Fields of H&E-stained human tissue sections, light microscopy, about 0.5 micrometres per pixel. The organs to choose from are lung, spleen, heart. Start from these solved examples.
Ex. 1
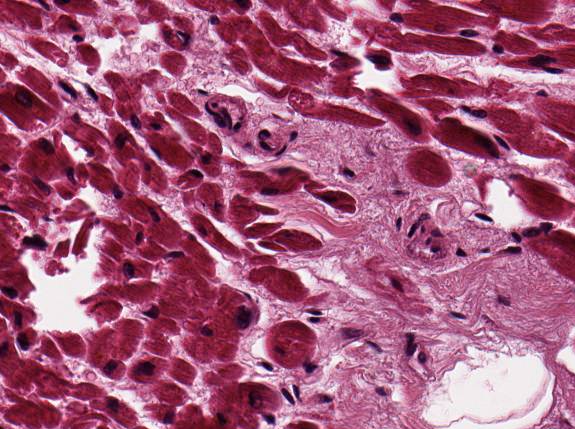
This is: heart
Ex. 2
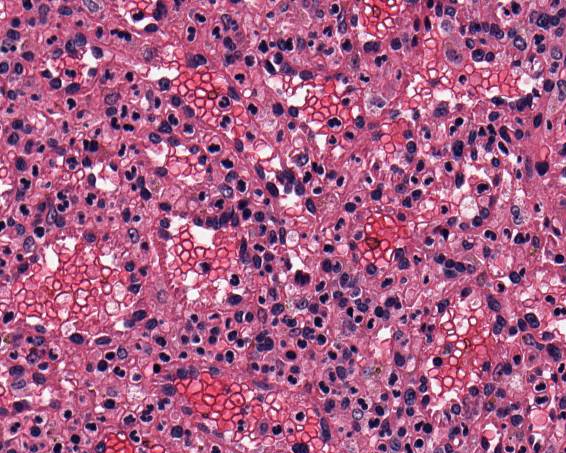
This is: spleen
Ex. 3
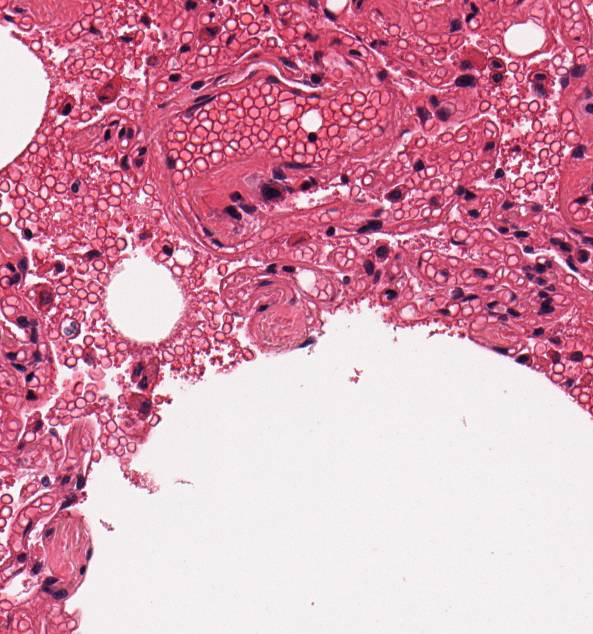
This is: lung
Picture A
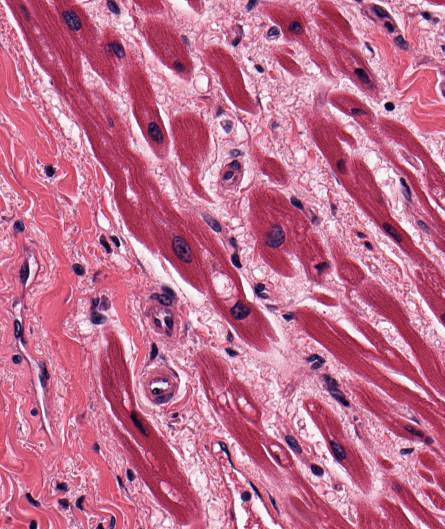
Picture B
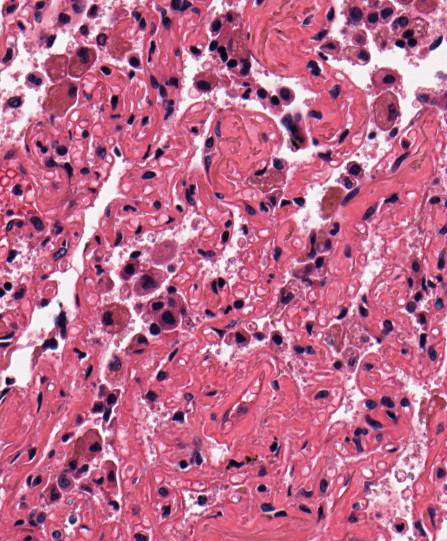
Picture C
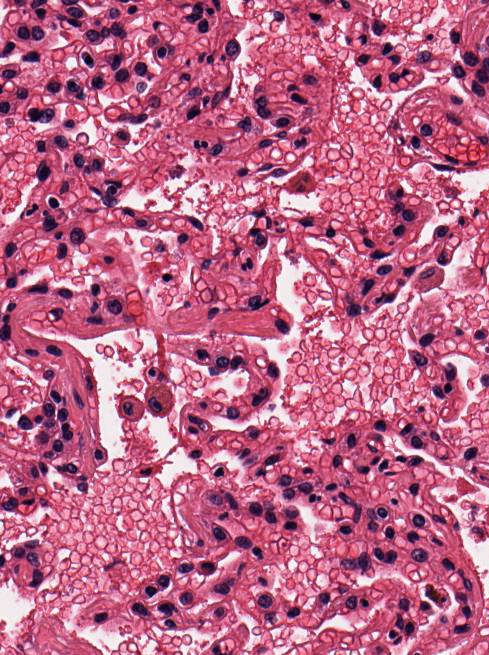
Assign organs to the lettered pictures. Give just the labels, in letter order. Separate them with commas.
heart, lung, lung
